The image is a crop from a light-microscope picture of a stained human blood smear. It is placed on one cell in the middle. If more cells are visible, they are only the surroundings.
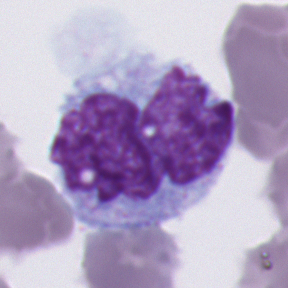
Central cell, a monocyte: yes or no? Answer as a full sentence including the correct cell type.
Yes, shown in the middle of the crop is a monocyte.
